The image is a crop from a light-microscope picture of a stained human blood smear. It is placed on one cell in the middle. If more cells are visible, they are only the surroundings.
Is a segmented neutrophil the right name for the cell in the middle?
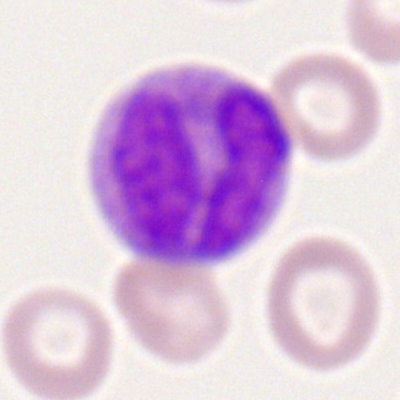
no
